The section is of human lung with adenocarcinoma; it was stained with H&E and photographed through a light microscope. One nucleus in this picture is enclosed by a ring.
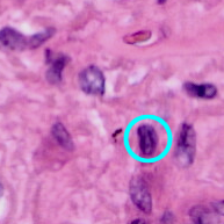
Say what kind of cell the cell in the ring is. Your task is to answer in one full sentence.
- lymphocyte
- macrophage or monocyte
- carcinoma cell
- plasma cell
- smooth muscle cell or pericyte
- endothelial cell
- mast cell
In this field of tissue, the cell in the ring is a plasma cell.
